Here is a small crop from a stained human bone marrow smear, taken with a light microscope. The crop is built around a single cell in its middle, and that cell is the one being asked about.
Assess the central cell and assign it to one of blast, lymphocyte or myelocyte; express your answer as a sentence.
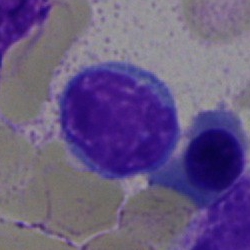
What sits at the centre of this crop is a lymphocyte.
